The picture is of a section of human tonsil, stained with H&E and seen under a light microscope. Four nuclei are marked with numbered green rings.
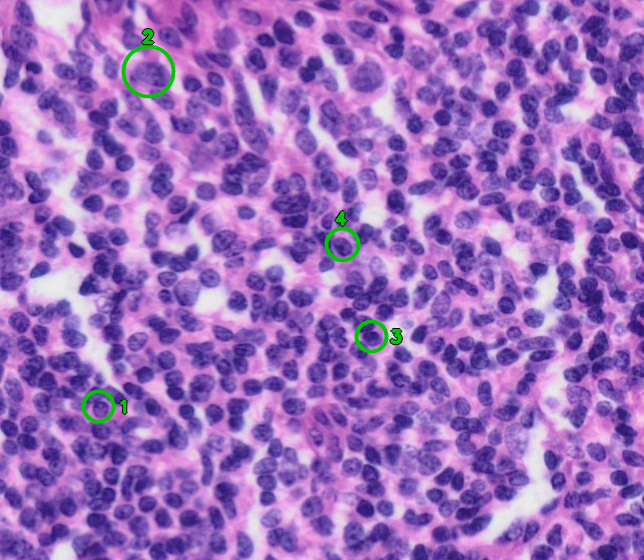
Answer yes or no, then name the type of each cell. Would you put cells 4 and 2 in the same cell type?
No, cell 4 is a small lymphocyte, and cell 2 is, by contrast, a proliferating B cell.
